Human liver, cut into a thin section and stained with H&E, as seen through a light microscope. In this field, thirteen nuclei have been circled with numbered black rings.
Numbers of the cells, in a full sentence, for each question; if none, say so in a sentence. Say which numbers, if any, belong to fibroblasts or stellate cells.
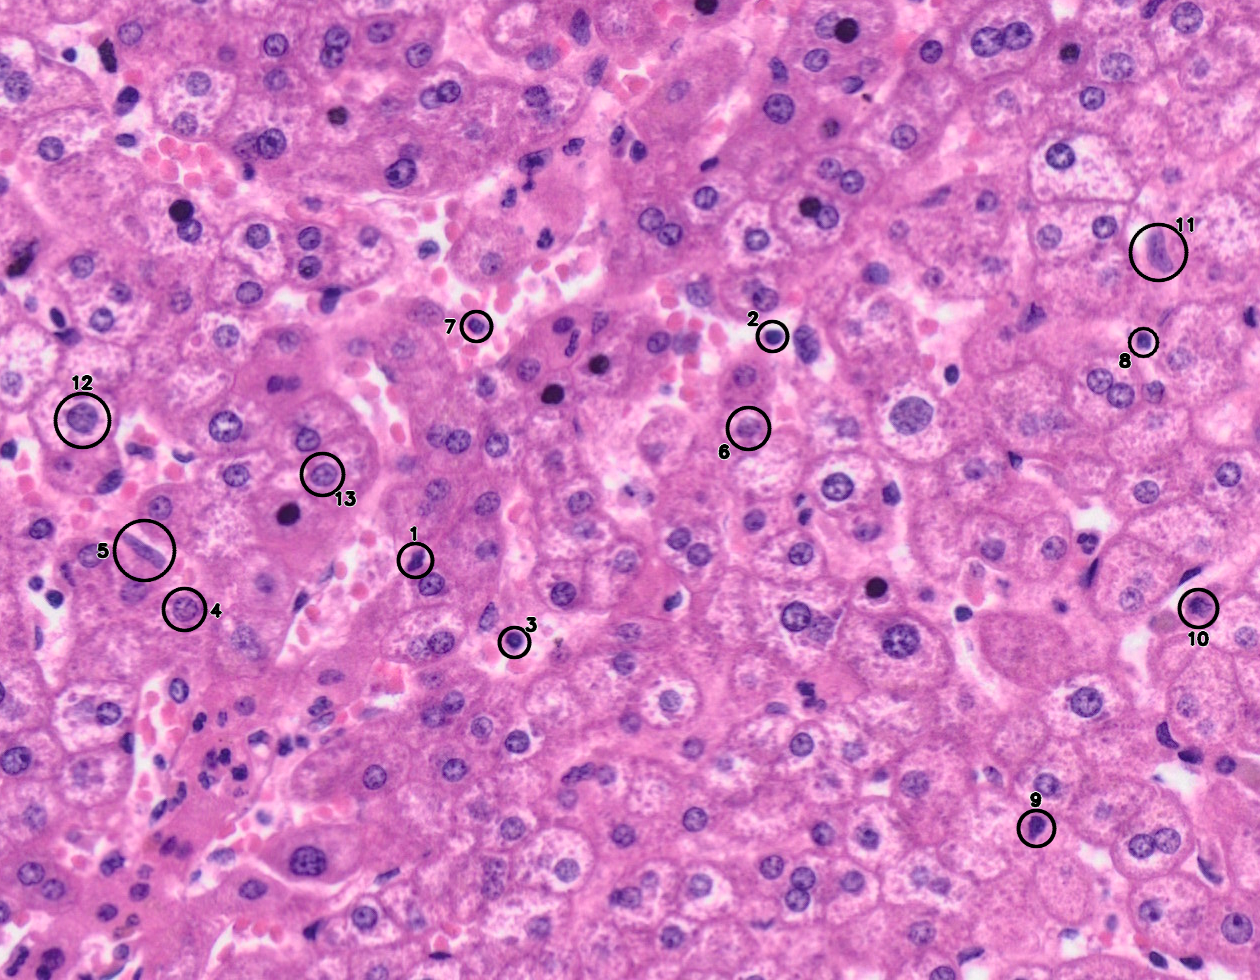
The cells tagged 1 and 9 are fibroblasts or stellate cells in this tissue section.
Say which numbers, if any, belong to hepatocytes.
Cells numbered 4, 6, 12 and 13 belong to the group of hepatocytes.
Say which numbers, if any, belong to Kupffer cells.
The cells numbered 5, 10 and 11 are of the kind known as Kupffer cells.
